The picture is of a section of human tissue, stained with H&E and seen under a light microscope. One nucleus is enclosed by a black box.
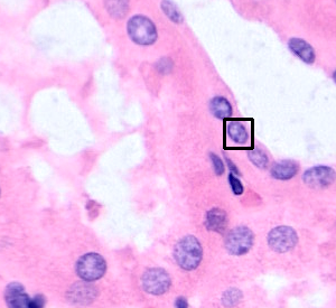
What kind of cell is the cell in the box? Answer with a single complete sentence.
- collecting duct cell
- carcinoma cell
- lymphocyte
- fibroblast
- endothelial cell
The cell meant here is a collecting duct cell.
